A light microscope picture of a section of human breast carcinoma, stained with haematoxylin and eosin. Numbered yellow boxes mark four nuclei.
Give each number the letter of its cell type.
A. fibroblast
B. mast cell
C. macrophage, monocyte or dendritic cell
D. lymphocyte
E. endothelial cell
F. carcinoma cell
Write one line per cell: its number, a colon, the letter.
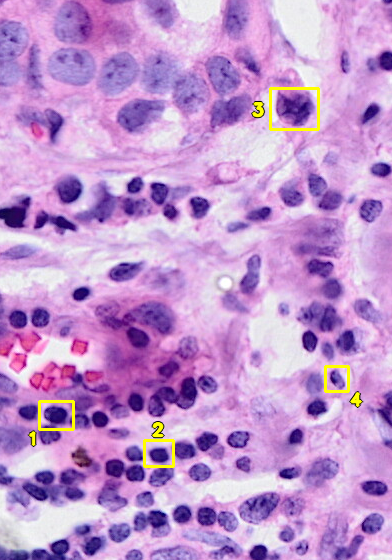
1: D
2: D
3: F
4: D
